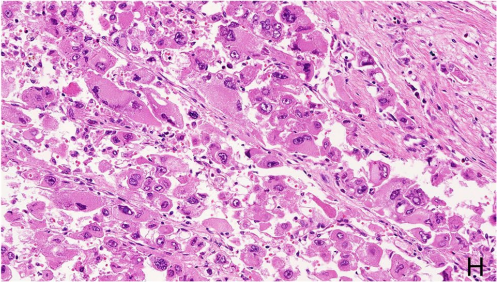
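Large epithelioid tumor cells with marked atypia lie loosely amid strands of pink fibrous stroma. Their cytoplasm is abundant, dense and deeply eosinophilic. Nuclei are dark, vary widely in size and shape, and some cells carry more than one nucleus. Many nuclei show large, conspicuous nucleoli.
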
